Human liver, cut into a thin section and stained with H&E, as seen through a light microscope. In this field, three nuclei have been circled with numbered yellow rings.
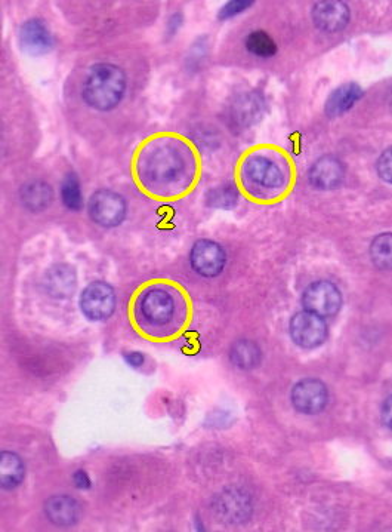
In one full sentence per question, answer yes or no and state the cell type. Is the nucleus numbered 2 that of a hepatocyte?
Yes, that is right: the cell labelled 2 is a hepatocyte.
